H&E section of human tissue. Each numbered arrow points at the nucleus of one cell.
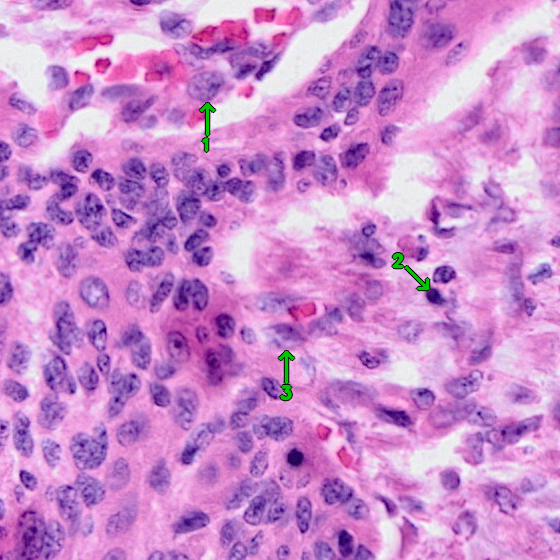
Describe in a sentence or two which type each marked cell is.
Cells 1 and 3 are endothelial cells. Cell 2 is a lymphocyte.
